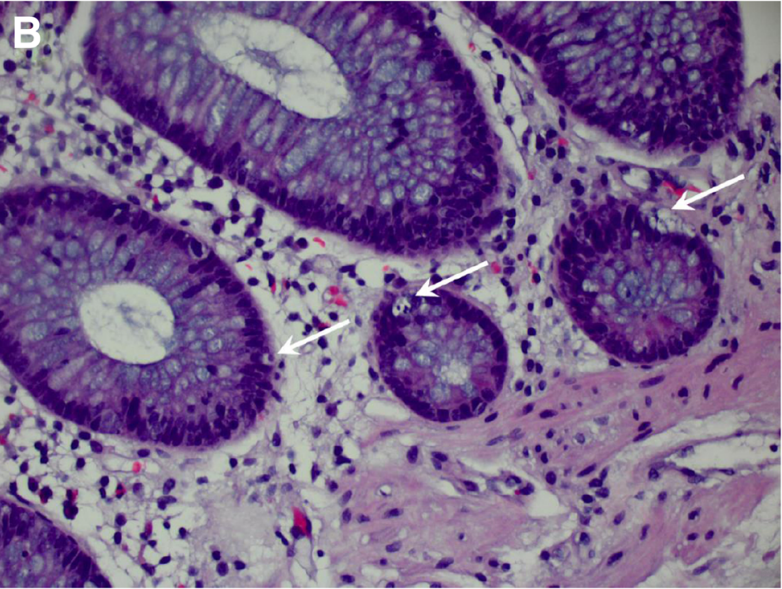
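Colonic crypts cut in cross section are lined by columnar epithelium rich in pale, mucin-filled goblet cells, with dark elongated nuclei crowded at the basal side. At the base of several crypts, small dark condensed nuclear fragments surrounded by clear halos mark apoptotic epithelial cells. The lamina propria between the crypts is loose and pale, with scattered round inflammatory cells and red blood cells, and pink fibrous tissue at the lower right.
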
